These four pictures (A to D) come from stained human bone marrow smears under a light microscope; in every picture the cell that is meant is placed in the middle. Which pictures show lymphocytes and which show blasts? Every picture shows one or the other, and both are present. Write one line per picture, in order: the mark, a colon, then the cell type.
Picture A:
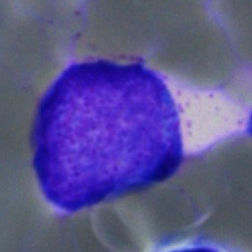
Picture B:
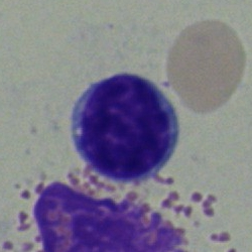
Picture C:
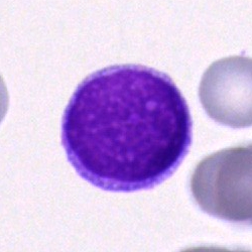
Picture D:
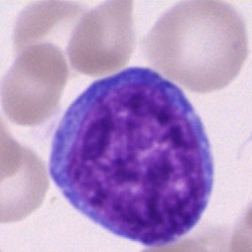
A: blast
B: lymphocyte
C: blast
D: blast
